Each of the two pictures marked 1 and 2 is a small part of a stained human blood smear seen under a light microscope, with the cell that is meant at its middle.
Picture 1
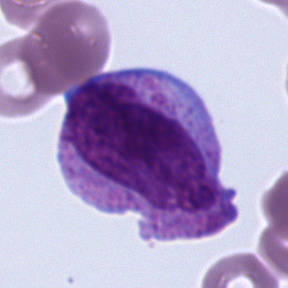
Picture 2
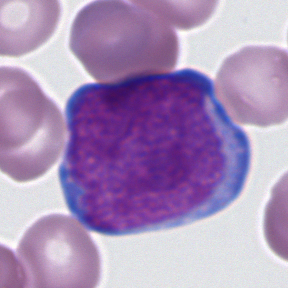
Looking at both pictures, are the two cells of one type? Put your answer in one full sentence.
No. Picture 1 shows an atypical promyelocyte, but picture 2 shows a myeloblast.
